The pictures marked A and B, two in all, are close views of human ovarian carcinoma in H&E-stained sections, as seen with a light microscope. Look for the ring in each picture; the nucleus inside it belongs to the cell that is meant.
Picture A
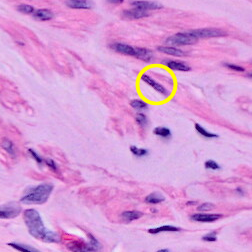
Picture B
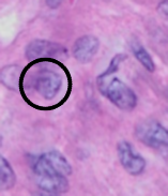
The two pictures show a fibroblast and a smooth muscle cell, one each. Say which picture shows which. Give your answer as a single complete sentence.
It is picture A that shows a smooth muscle cell, and picture B that shows a fibroblast.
